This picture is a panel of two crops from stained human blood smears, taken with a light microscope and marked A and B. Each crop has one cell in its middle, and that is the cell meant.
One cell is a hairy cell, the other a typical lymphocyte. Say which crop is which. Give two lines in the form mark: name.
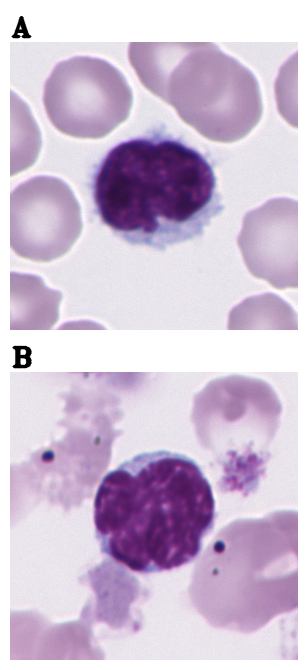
A: hairy cell
B: typical lymphocyte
